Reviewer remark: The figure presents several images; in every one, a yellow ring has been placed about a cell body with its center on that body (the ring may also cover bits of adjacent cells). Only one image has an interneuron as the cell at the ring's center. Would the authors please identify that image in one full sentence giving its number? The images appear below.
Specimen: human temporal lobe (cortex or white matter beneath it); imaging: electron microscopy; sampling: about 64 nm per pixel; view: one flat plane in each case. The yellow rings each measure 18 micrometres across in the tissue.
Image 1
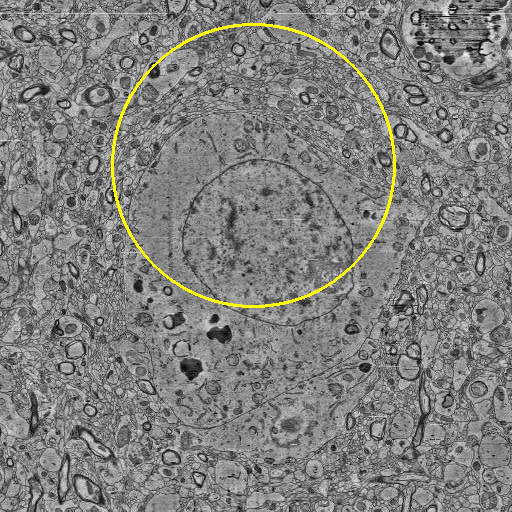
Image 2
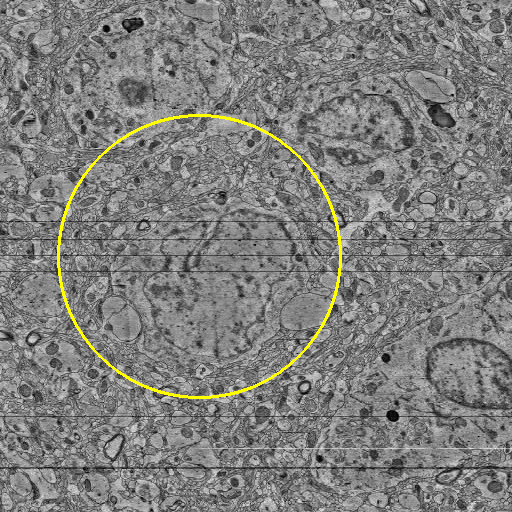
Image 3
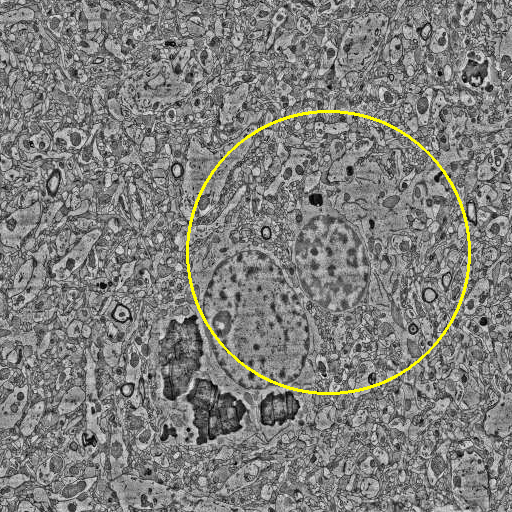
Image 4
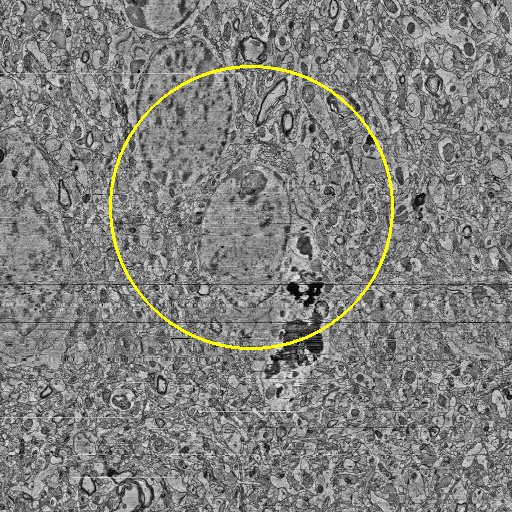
The ring's central cell in image 2 is the one the question describes.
